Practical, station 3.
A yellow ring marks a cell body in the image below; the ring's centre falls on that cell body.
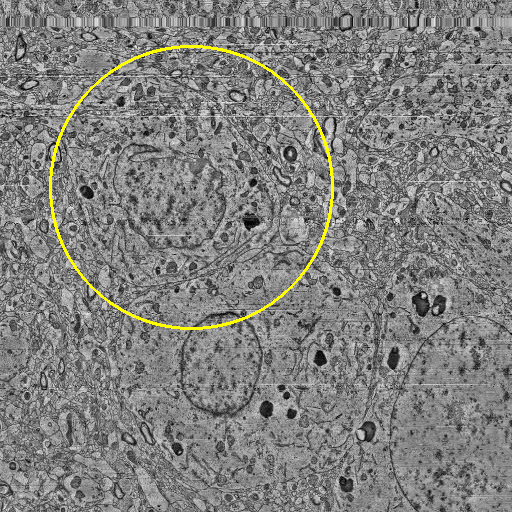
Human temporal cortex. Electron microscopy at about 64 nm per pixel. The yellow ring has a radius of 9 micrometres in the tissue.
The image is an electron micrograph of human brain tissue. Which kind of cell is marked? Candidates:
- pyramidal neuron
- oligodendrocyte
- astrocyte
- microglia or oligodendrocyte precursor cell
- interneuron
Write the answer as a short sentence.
The marked cell body is that of an interneuron.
